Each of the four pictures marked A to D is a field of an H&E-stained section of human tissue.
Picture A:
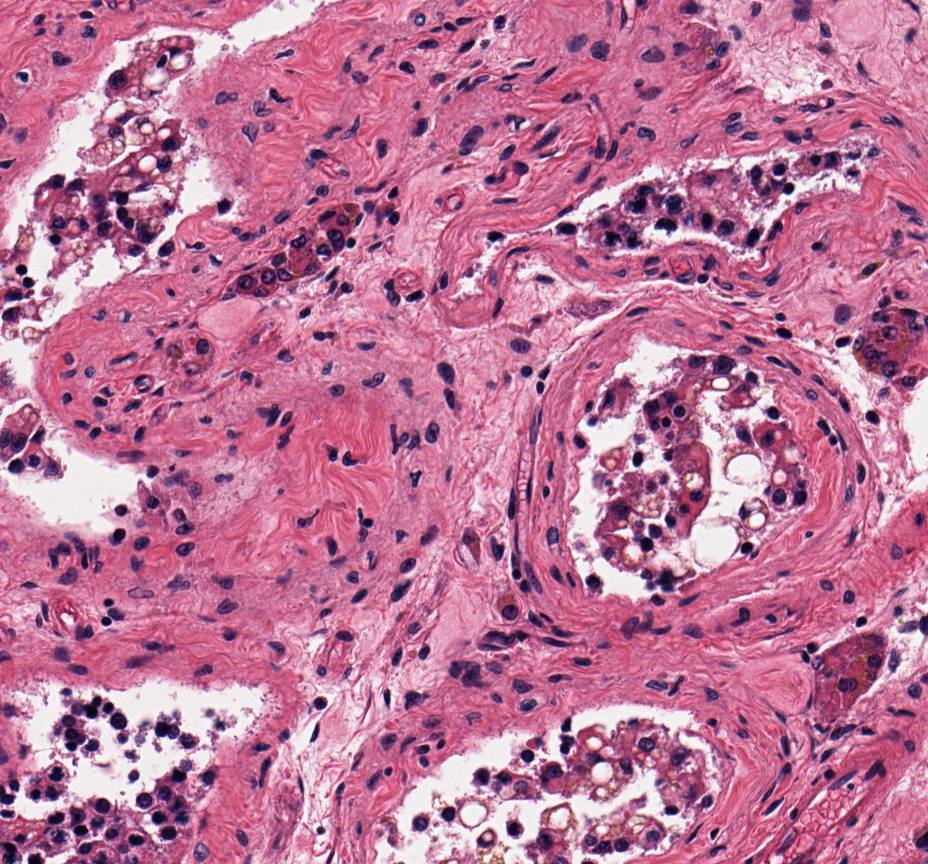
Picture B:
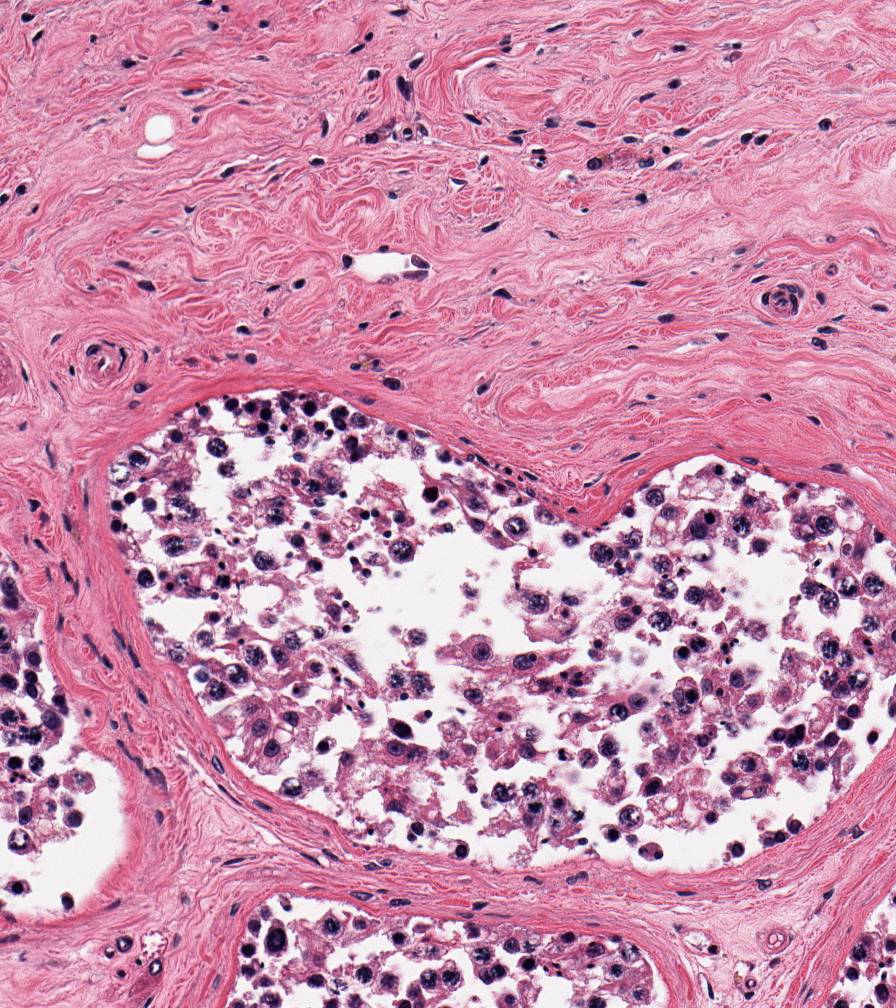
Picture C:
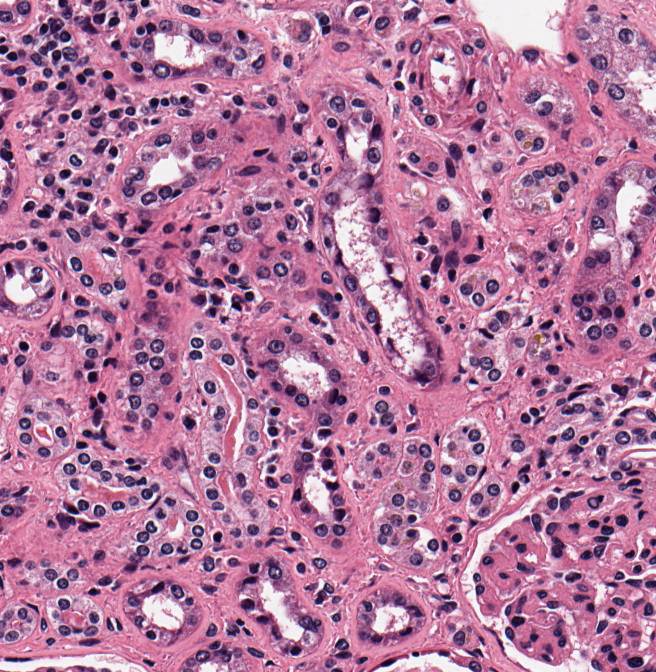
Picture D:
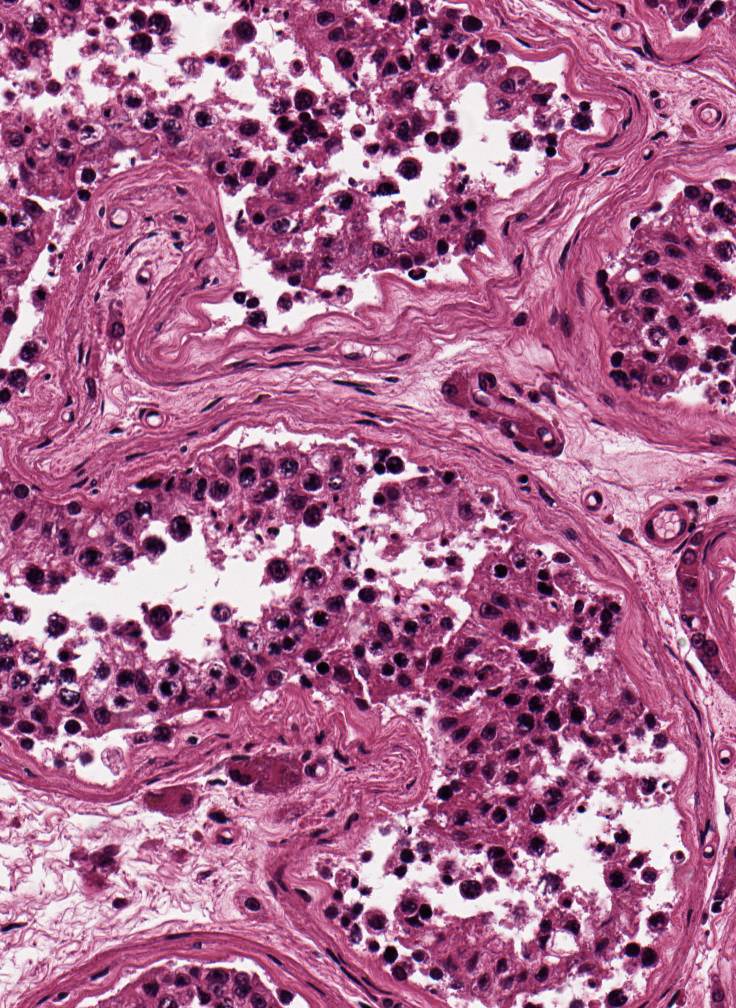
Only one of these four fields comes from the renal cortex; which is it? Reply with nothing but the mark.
C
